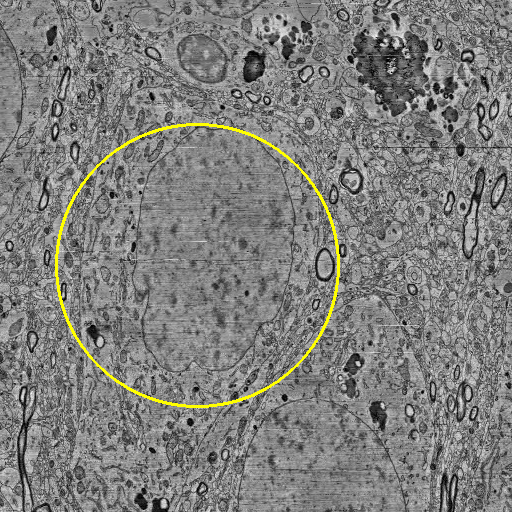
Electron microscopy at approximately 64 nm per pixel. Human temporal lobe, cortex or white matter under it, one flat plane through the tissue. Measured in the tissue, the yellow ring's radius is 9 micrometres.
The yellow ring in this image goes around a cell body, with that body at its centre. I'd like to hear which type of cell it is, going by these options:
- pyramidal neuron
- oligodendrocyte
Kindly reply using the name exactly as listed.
pyramidal neuron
